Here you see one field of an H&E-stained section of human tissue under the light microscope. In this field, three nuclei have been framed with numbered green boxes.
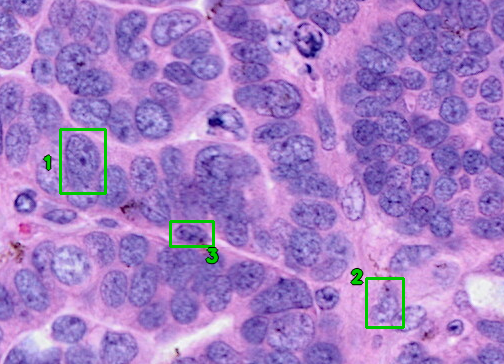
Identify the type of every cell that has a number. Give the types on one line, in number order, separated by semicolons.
carcinoma cell; fibroblast; macrophage or monocyte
